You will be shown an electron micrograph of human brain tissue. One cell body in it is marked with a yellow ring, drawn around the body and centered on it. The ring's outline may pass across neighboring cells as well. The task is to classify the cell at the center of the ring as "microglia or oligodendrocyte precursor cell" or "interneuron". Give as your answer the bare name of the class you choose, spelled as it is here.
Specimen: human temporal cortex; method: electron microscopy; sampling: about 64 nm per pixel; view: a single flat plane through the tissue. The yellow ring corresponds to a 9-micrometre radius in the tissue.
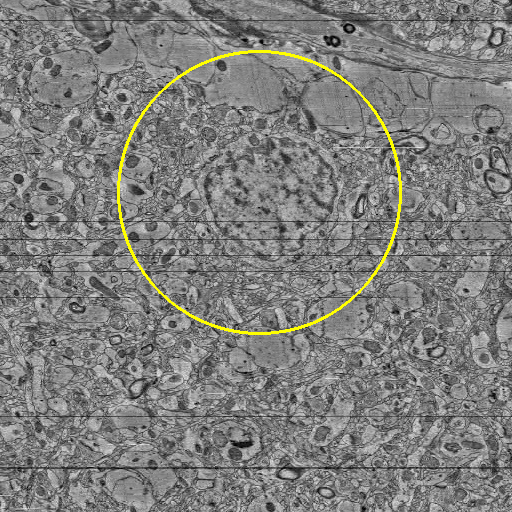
interneuron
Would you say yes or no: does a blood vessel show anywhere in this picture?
Yes, one is visible.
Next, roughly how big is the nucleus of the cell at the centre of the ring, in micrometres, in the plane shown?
Roughly 8 micrometers across, in this plane.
